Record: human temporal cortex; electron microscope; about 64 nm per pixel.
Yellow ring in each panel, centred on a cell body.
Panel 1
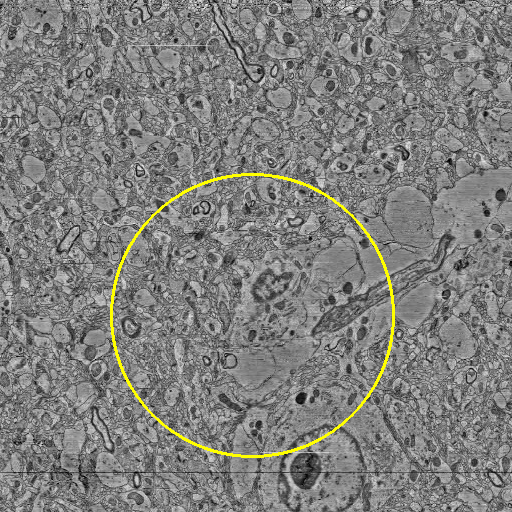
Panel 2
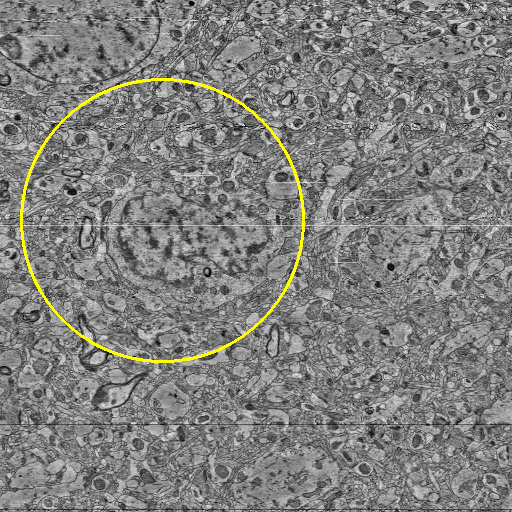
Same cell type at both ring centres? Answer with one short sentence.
No, the two cells are of two types.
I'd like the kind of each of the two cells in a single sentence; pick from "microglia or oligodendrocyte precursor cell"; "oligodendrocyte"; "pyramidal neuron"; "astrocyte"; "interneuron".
The first ring marks a microglial cell or oligodendrocyte precursor cell, and the second ring marks an interneuron.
